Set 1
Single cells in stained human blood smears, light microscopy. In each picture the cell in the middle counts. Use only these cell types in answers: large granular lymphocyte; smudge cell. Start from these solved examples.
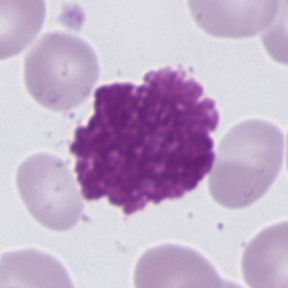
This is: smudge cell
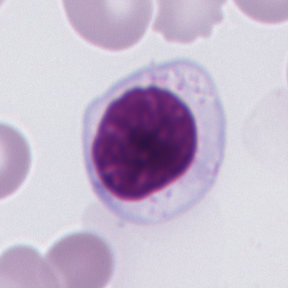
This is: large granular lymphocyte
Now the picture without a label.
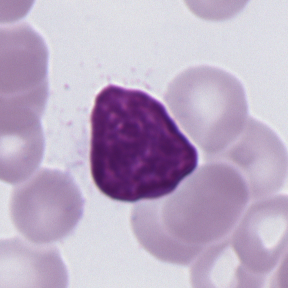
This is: smudge cell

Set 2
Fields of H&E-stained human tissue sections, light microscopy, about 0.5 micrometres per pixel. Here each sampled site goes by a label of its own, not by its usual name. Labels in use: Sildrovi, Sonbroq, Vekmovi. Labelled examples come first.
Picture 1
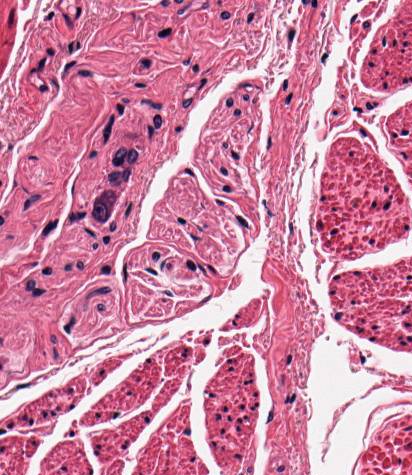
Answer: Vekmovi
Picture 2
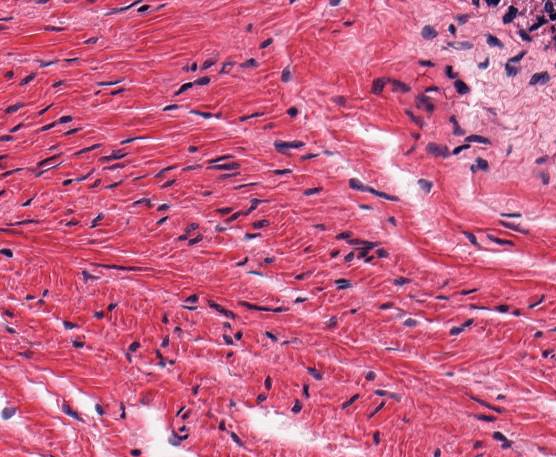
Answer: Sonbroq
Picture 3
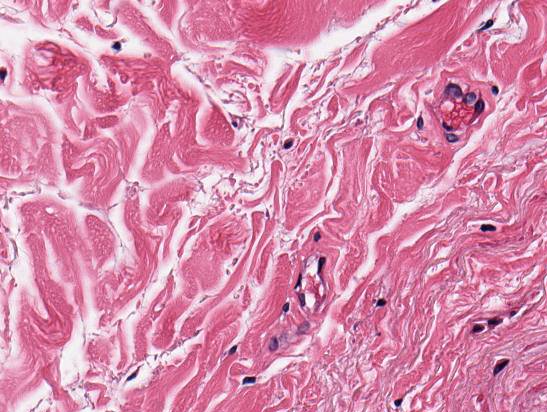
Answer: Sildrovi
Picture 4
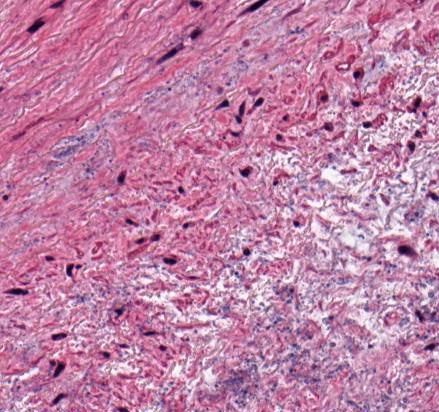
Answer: Sildrovi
